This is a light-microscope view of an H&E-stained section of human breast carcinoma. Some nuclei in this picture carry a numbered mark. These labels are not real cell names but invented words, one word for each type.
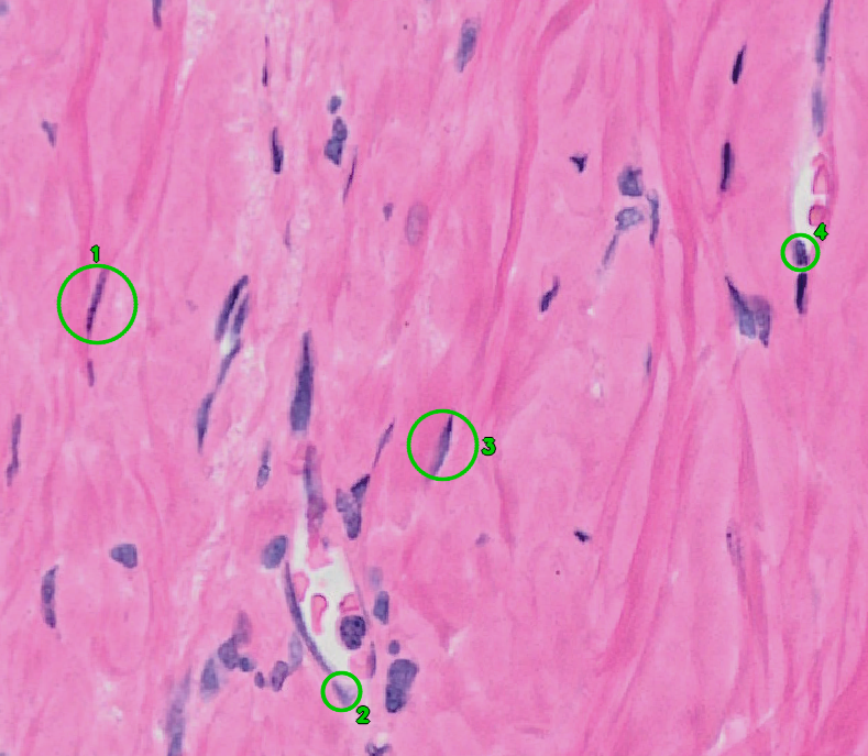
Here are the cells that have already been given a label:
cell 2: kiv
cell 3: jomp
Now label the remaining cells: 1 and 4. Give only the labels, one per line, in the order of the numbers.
jomp
kiv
